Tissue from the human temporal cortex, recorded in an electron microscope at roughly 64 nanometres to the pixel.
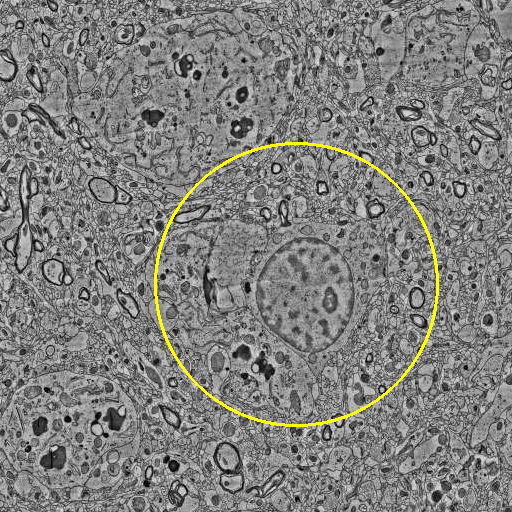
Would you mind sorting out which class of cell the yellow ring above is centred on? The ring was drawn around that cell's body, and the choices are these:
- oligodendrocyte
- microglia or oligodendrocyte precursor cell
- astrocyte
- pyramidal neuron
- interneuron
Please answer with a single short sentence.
This is the cell body of an oligodendrocyte.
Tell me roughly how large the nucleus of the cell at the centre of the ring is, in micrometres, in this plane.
In this plane, the nucleus is roughly 7 by 6 micrometres.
